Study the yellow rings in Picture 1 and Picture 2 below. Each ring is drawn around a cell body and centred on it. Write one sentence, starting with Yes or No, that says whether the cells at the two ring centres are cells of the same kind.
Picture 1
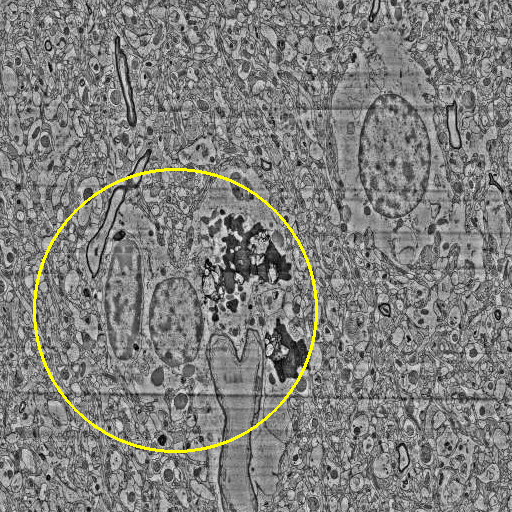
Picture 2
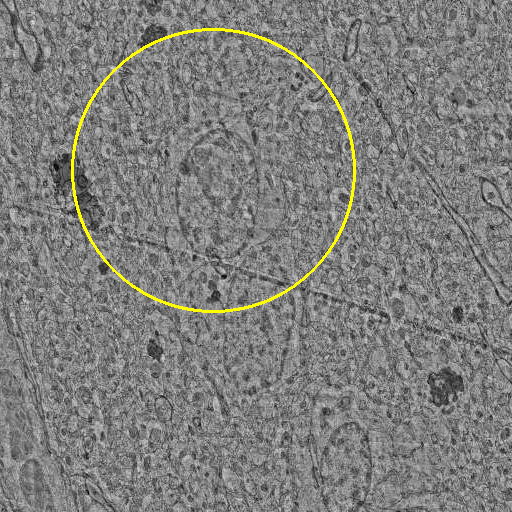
Yes, the cells at both ring centres are of the same kind.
